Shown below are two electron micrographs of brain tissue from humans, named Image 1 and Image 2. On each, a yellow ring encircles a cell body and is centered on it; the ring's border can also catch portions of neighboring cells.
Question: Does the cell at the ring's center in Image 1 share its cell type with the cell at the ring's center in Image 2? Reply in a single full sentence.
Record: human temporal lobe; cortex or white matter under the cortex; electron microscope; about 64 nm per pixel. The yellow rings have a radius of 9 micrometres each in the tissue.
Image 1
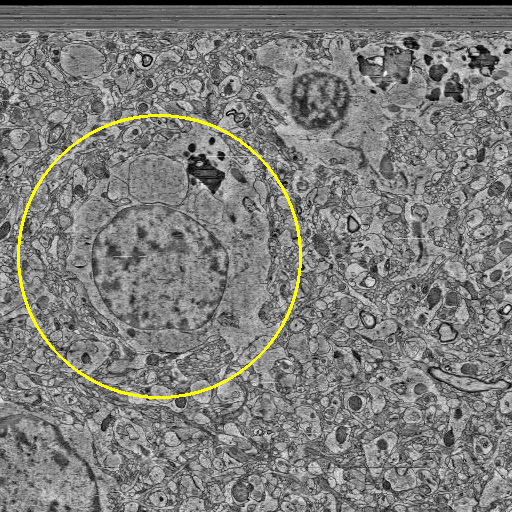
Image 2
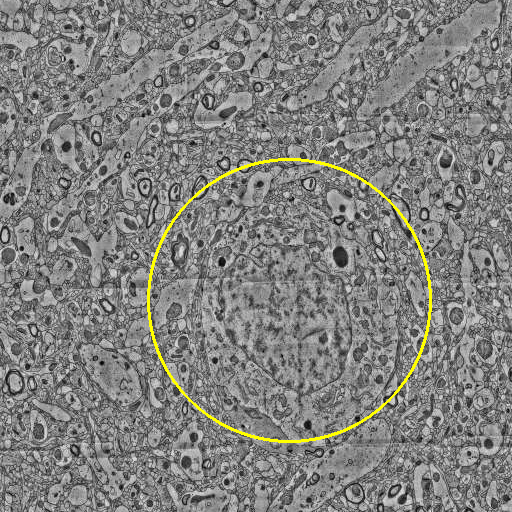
No, the two cells at the ring centers, in Image 1 and Image 2, are of two cell types.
